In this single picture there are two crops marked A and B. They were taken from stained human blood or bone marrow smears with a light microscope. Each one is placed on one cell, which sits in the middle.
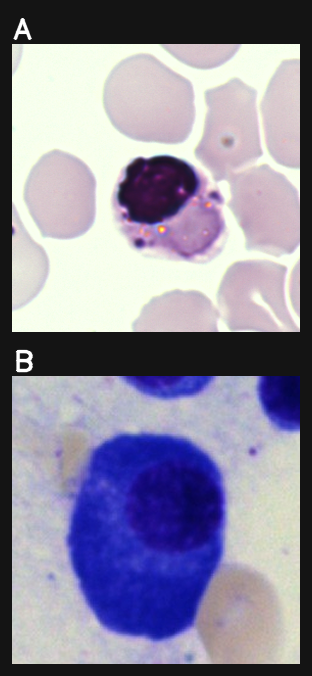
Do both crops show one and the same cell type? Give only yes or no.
no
